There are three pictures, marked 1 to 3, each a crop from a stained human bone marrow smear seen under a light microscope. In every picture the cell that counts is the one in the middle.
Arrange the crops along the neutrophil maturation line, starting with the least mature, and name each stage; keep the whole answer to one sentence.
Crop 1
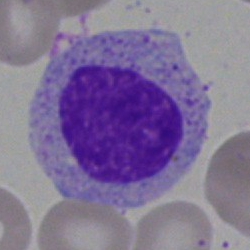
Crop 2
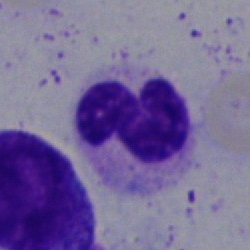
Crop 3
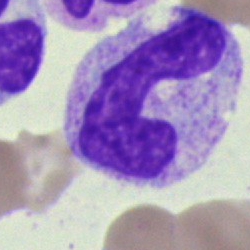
Placed in order of rising maturity, the crops stand as crop 1 (a myelocyte), crop 3 (a band neutrophil) and crop 2 (a segmented neutrophil).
